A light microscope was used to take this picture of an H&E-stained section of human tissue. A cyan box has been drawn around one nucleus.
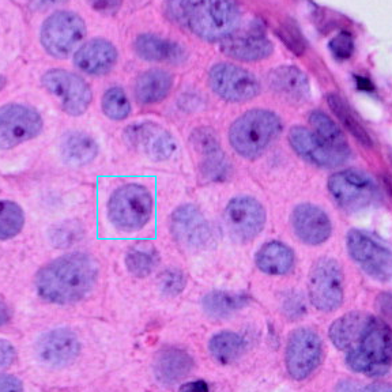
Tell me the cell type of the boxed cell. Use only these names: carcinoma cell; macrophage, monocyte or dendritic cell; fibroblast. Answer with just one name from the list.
carcinoma cell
